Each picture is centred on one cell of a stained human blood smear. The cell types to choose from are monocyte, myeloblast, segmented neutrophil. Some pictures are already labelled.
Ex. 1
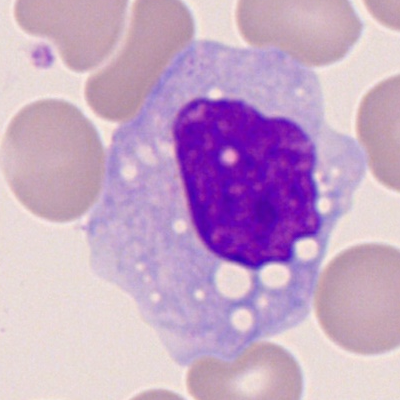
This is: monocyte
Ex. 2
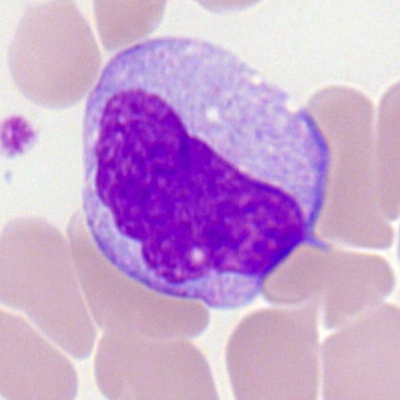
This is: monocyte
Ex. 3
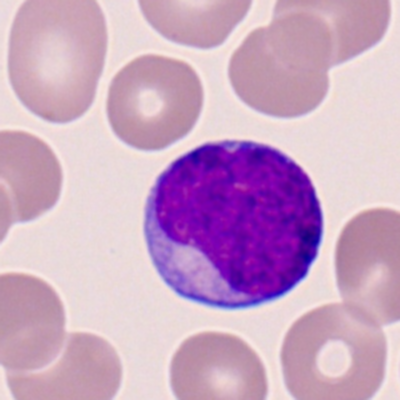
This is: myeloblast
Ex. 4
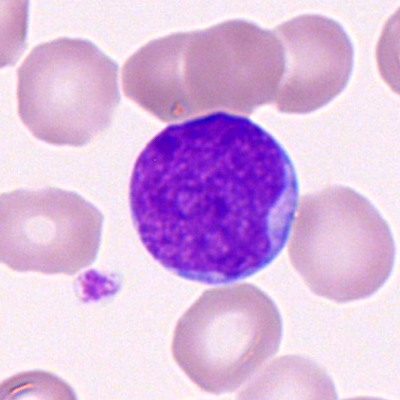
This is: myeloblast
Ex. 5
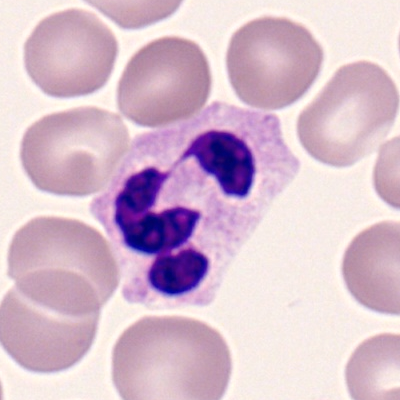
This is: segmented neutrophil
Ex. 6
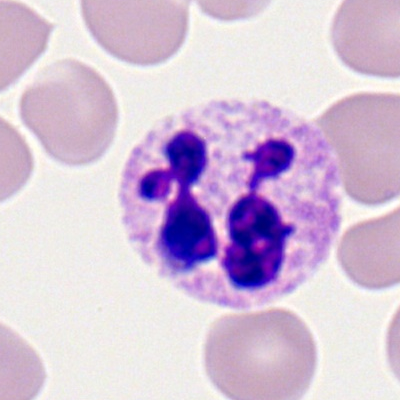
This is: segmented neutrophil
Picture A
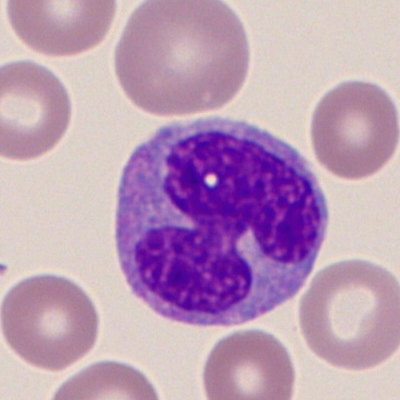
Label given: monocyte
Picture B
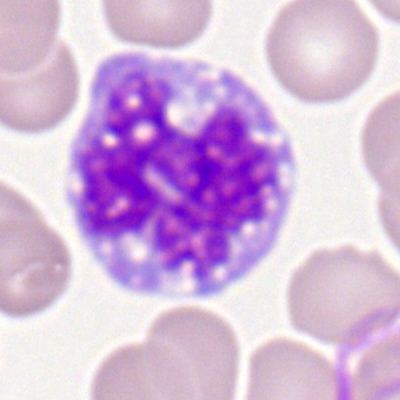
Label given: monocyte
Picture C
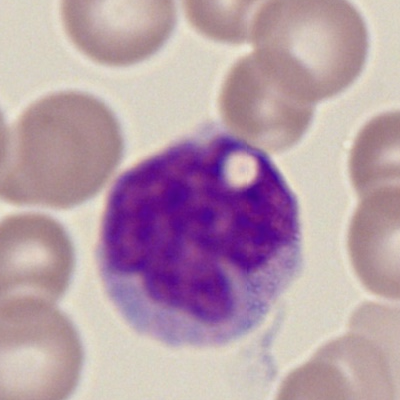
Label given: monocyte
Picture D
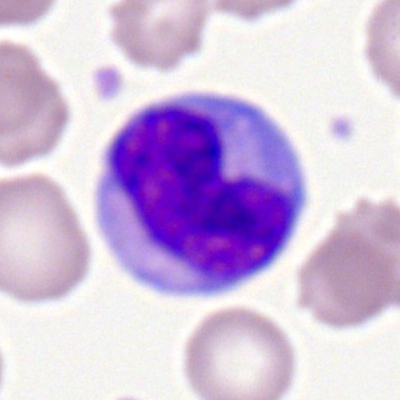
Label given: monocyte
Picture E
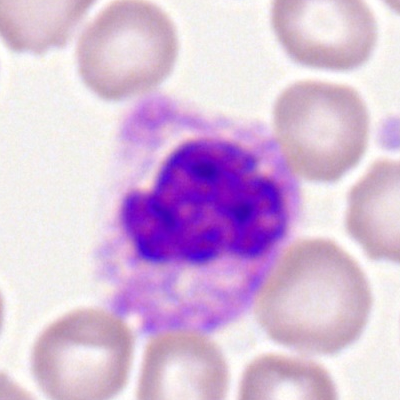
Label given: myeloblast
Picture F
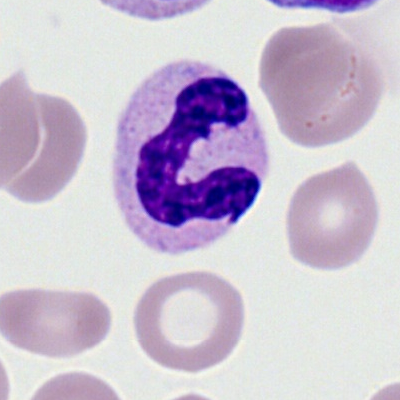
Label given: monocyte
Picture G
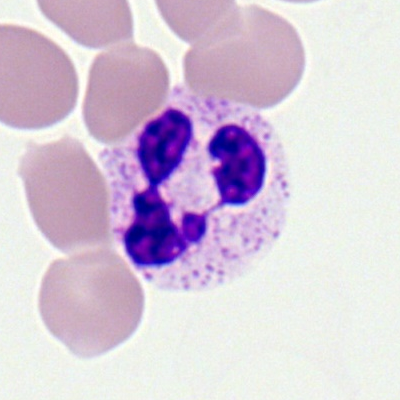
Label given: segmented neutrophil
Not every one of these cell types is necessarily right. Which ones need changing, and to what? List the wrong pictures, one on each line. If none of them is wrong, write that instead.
Wrong: E (myeloblast); correct: segmented neutrophil
Wrong: F (monocyte); correct: segmented neutrophil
